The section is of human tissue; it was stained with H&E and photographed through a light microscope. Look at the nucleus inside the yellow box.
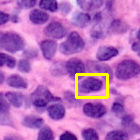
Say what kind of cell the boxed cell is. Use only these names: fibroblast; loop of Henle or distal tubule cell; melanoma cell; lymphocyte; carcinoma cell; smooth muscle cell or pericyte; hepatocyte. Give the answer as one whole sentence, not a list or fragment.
The cell type represented by the boxed cell is that of a lymphocyte.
